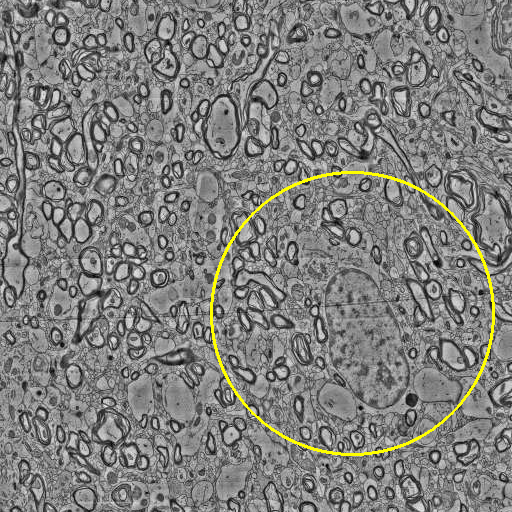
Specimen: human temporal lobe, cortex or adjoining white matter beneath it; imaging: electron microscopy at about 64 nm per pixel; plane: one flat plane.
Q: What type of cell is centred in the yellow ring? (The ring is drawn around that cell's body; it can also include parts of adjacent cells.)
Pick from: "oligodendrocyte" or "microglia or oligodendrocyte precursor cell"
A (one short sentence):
The yellow ring is centred on a microglial cell or oligodendrocyte precursor cell.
